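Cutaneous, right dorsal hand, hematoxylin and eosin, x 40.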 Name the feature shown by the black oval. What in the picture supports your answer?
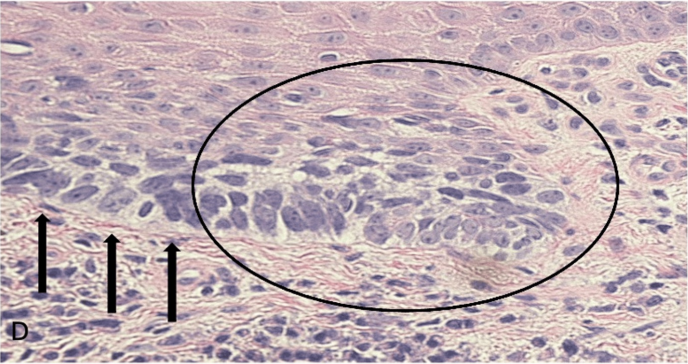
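Aggregate of tumor cells. Inside the oval, a cluster of crowded cells with large, dark, elongated nuclei sits at the bottom of the epidermis. These nuclei are larger and darker than those of the pink squamous cells above.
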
